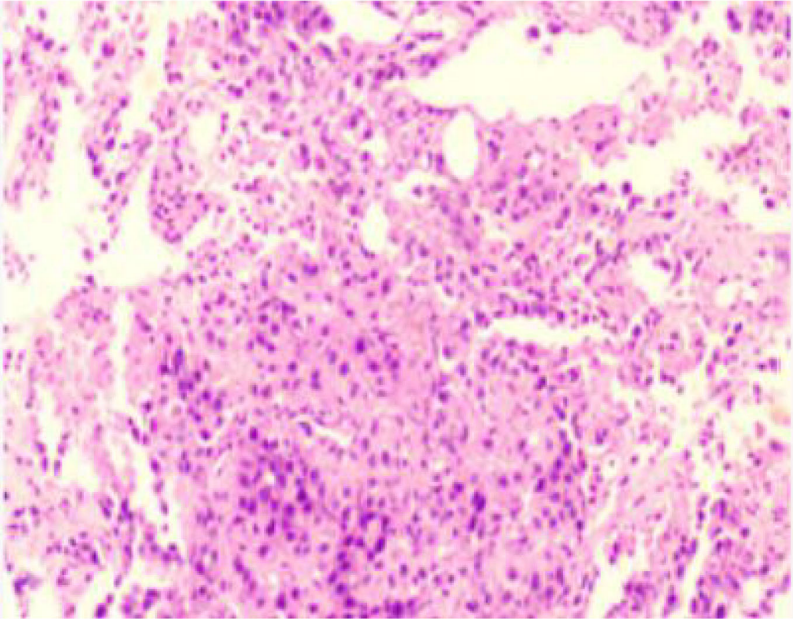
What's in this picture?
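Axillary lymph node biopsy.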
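Crowded sheets and loose clusters of atypical cells with enlarged, dark, irregular nuclei and pale pink cytoplasm fill the field. Well-formed glands are not evident, and the tumour cells lie in a loose, fragmented background with open clefts and spaces.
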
